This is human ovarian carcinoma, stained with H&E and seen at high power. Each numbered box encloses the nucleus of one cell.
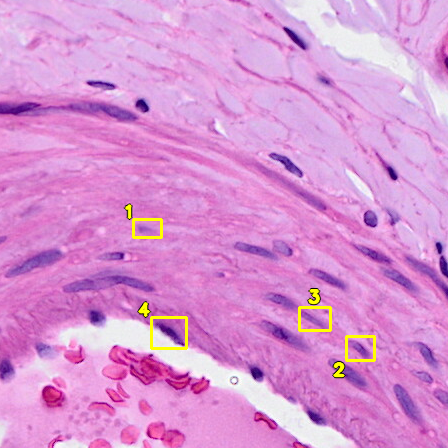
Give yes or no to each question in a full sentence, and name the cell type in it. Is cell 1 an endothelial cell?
No, cell 1 is not to be taken for an endothelial cell; it is a smooth muscle cell.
